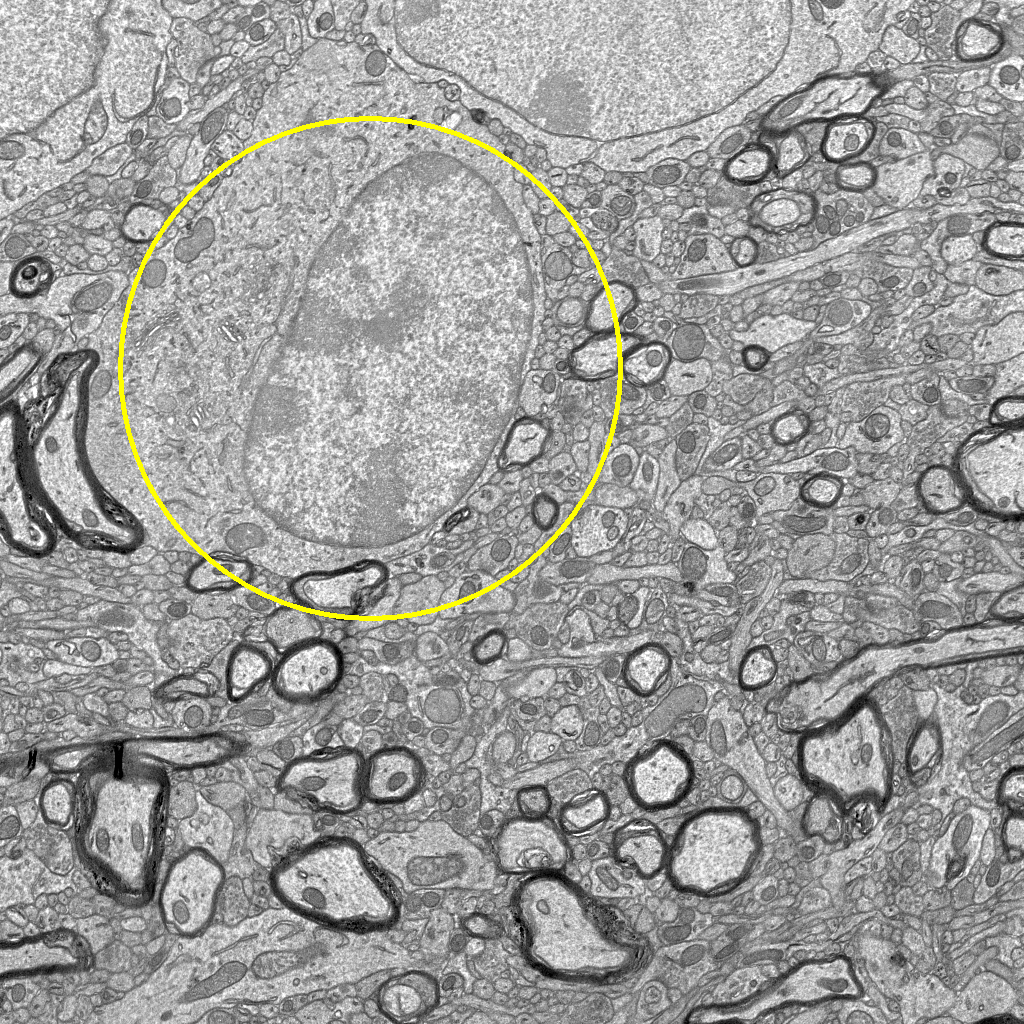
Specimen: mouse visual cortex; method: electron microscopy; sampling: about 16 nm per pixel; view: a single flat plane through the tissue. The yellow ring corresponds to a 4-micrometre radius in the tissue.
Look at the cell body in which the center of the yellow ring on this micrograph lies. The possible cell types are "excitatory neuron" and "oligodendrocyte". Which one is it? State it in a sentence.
The cell at the middle of the ring is an oligodendrocyte.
